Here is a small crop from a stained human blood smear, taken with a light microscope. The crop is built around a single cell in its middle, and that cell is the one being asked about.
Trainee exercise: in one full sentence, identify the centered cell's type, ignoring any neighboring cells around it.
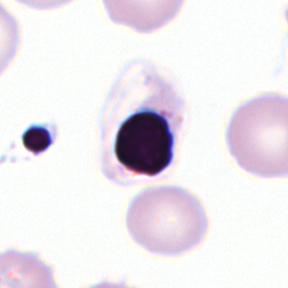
By type, the central cell of the crop is a normoblast.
